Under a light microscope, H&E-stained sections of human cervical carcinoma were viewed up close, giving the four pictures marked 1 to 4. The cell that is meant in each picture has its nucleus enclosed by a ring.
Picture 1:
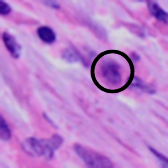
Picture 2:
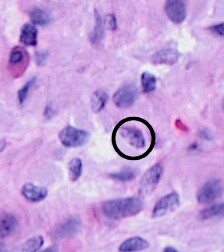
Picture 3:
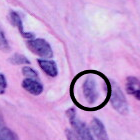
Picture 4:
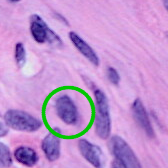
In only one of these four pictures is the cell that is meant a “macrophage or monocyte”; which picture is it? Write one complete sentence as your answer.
The “macrophage or monocyte” is the one in picture 1.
